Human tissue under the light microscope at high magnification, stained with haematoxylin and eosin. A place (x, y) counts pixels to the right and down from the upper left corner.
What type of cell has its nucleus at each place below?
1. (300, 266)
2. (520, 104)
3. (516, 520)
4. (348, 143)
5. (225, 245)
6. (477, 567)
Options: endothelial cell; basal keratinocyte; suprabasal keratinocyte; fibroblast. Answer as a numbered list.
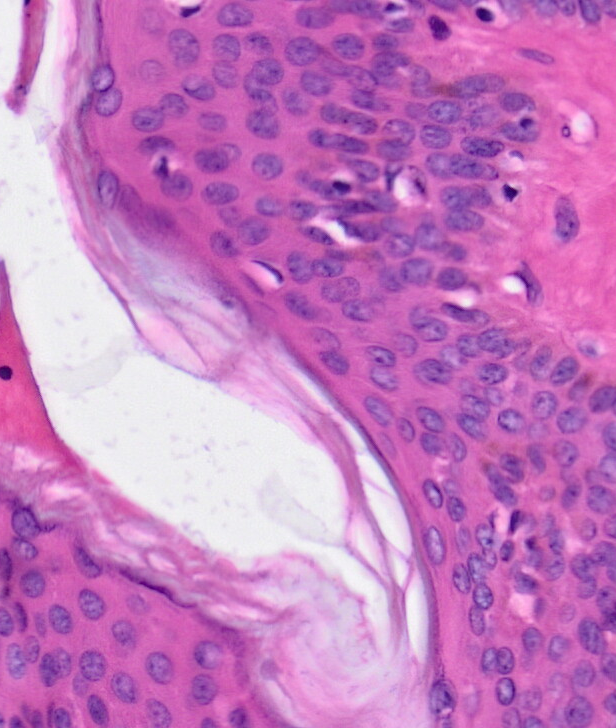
1. suprabasal keratinocyte
2. basal keratinocyte
3. basal keratinocyte
4. basal keratinocyte
5. suprabasal keratinocyte
6. suprabasal keratinocyte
